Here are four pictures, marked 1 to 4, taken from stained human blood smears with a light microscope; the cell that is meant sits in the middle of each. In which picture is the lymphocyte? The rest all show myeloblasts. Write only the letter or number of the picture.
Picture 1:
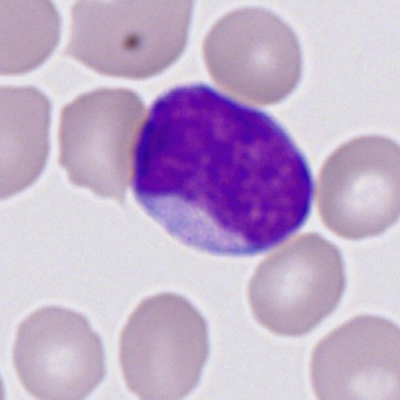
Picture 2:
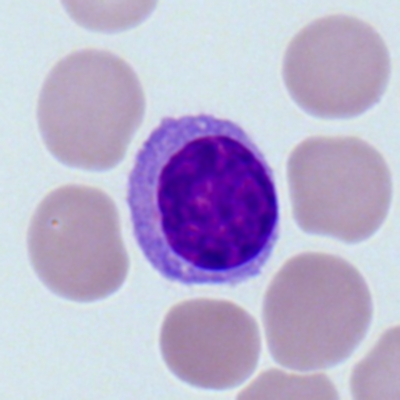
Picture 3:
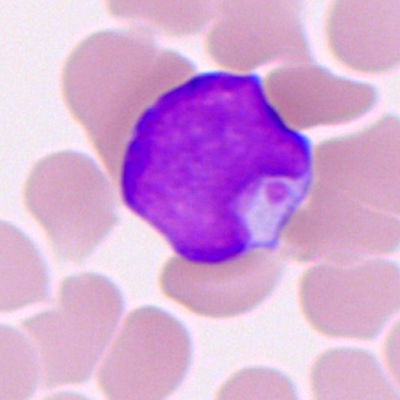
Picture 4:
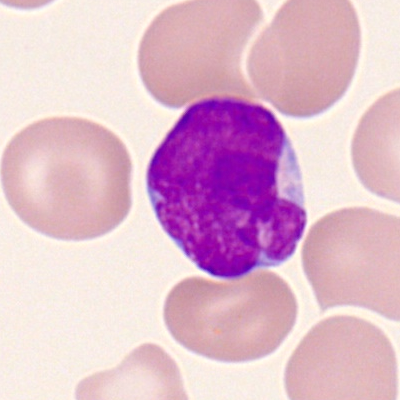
2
